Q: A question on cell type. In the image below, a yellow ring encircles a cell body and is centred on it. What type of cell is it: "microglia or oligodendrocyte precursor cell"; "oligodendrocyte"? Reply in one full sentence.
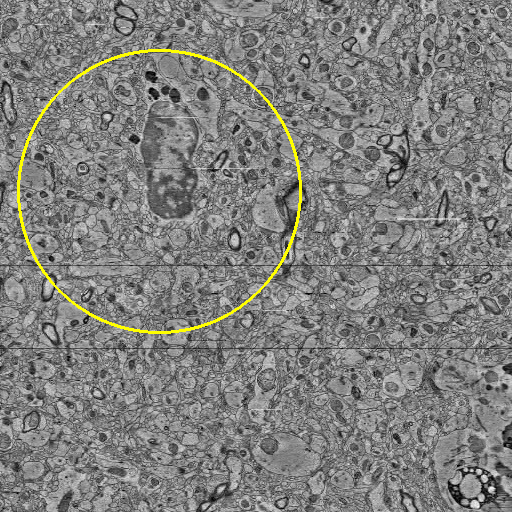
It is a microglial cell or oligodendrocyte precursor cell whose cell body sits at the centre of the yellow ring in the image.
